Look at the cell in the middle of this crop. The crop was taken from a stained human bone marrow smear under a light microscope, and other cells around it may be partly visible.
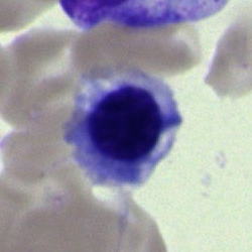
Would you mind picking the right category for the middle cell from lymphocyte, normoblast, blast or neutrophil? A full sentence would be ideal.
The cell marked by its central position in the crop is a normoblast.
